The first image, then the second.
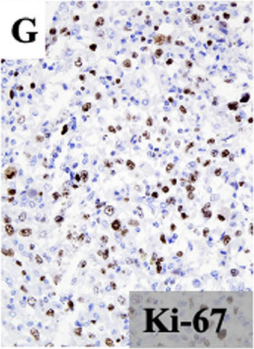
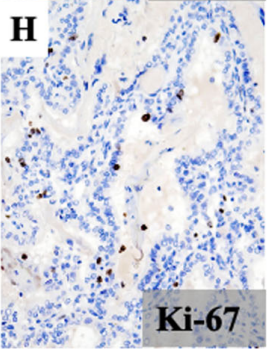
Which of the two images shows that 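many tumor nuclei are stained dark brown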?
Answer: The first image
